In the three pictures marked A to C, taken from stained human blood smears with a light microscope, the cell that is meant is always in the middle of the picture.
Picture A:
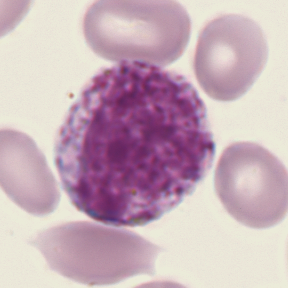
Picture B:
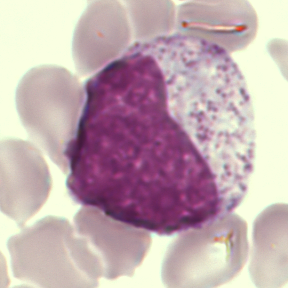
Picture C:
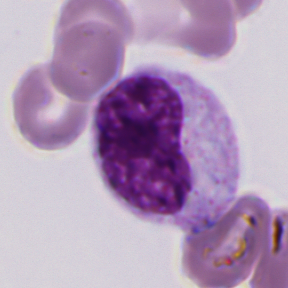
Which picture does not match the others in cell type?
B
